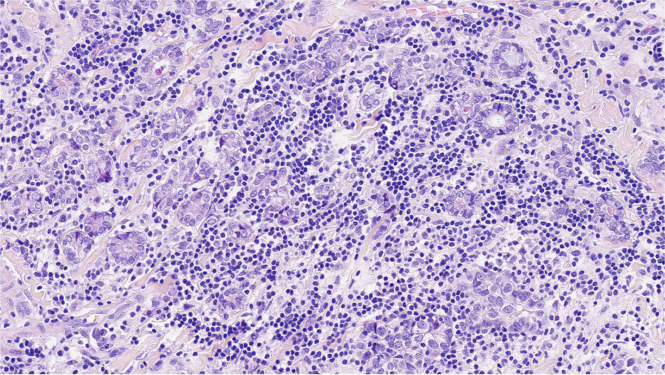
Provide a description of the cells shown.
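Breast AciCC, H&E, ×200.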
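The lymphocytes are small round cells with dense, dark purple nuclei and scant cytoplasm, packed densely between the tumor cell clusters. The tumor cells are larger, with paler, vesicular nuclei and pale pink to purple cytoplasm, some forming small lumens.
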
